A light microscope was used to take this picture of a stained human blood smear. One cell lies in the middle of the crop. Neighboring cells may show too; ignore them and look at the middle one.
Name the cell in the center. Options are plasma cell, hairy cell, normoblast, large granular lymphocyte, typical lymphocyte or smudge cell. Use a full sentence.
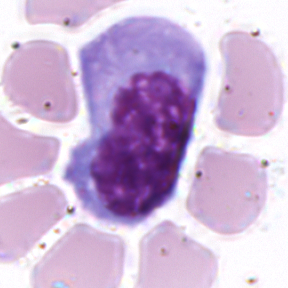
Centrally within this crop lies a plasma cell.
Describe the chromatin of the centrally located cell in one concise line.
Here the nuclear chromatin is coarsely clumped.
